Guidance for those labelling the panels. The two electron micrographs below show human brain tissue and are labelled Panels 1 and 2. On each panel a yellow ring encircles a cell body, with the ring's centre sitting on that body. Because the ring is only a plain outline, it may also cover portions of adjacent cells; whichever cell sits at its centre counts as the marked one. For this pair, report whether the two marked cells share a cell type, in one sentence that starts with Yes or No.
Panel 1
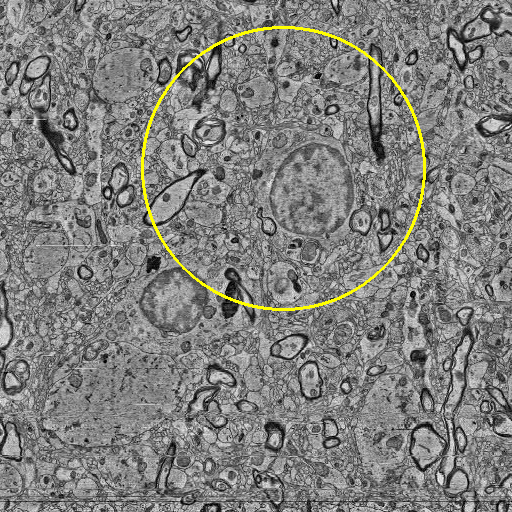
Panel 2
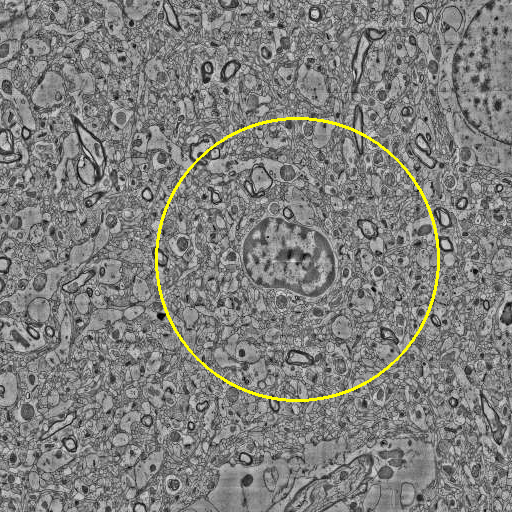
No, in Panel 1 and Panel 2 the marked cells at the ring centres are of two types.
